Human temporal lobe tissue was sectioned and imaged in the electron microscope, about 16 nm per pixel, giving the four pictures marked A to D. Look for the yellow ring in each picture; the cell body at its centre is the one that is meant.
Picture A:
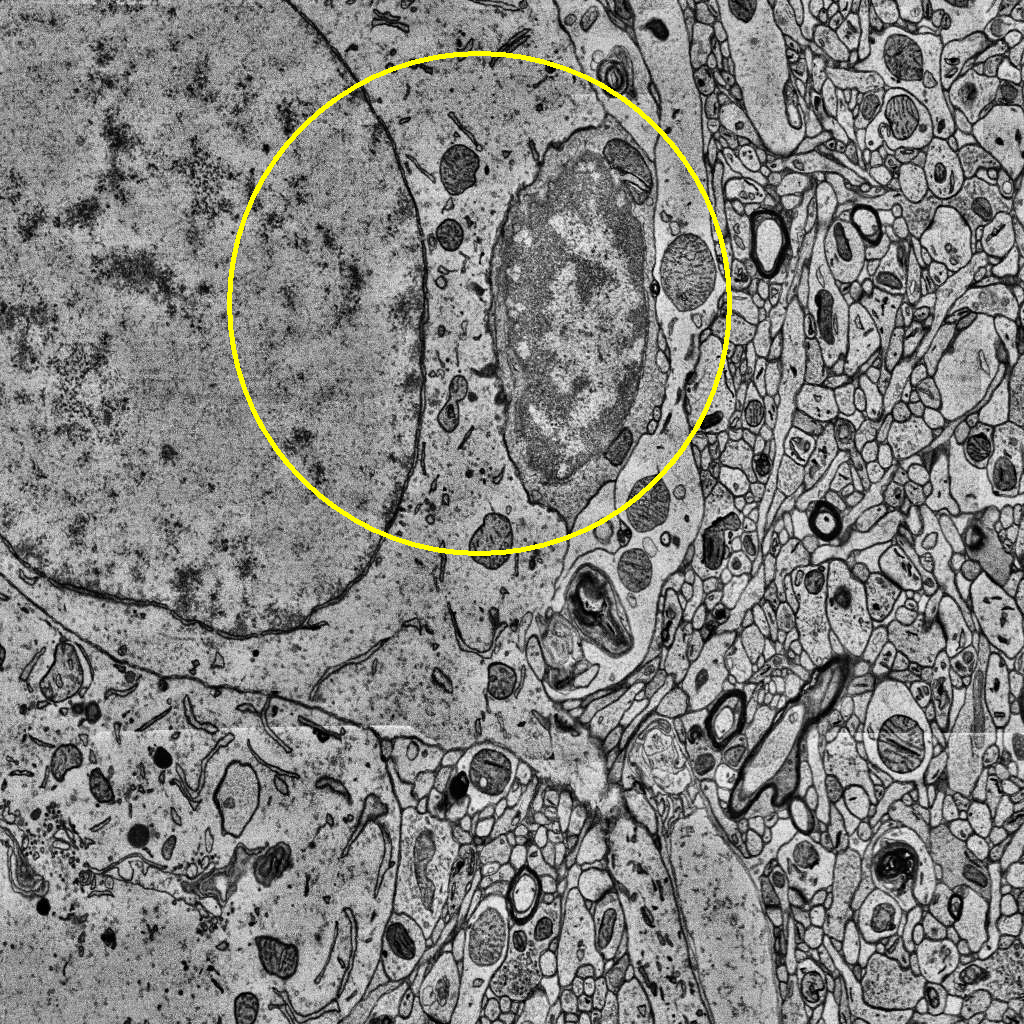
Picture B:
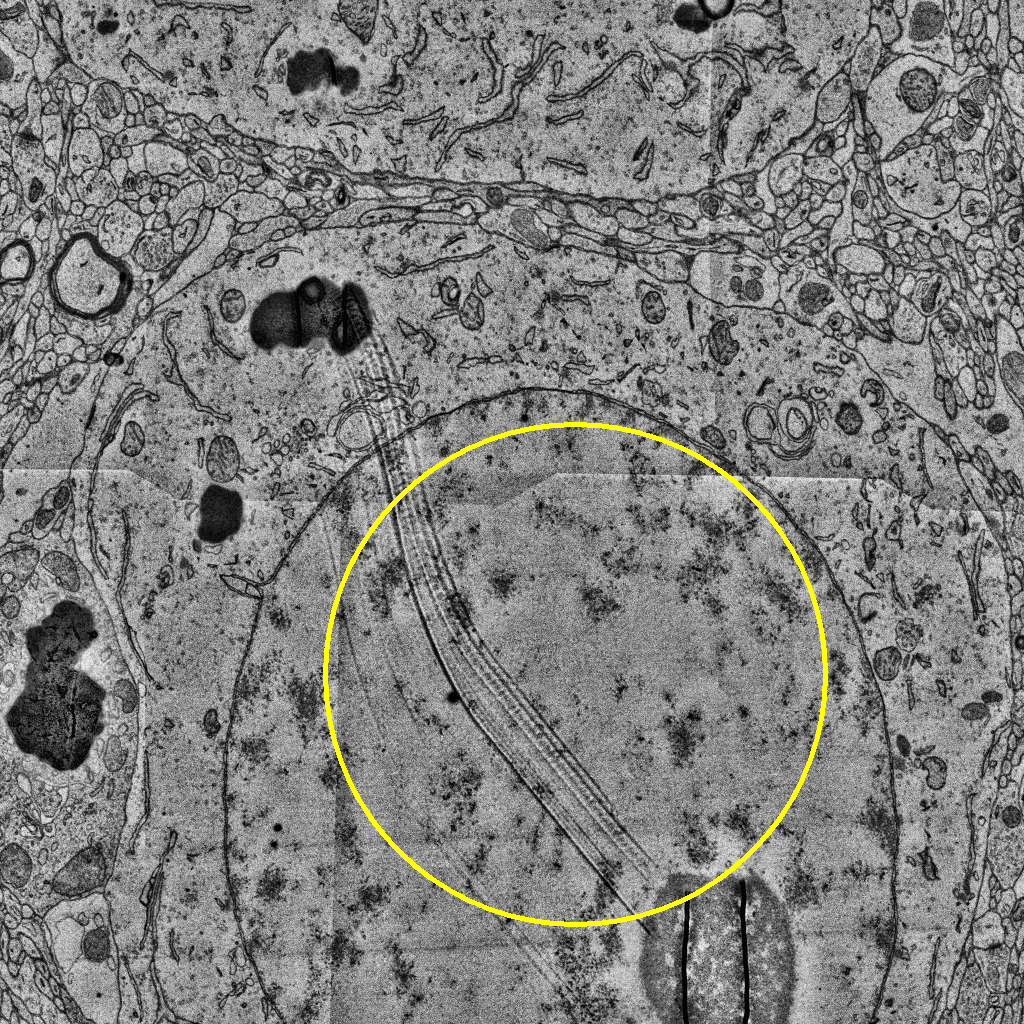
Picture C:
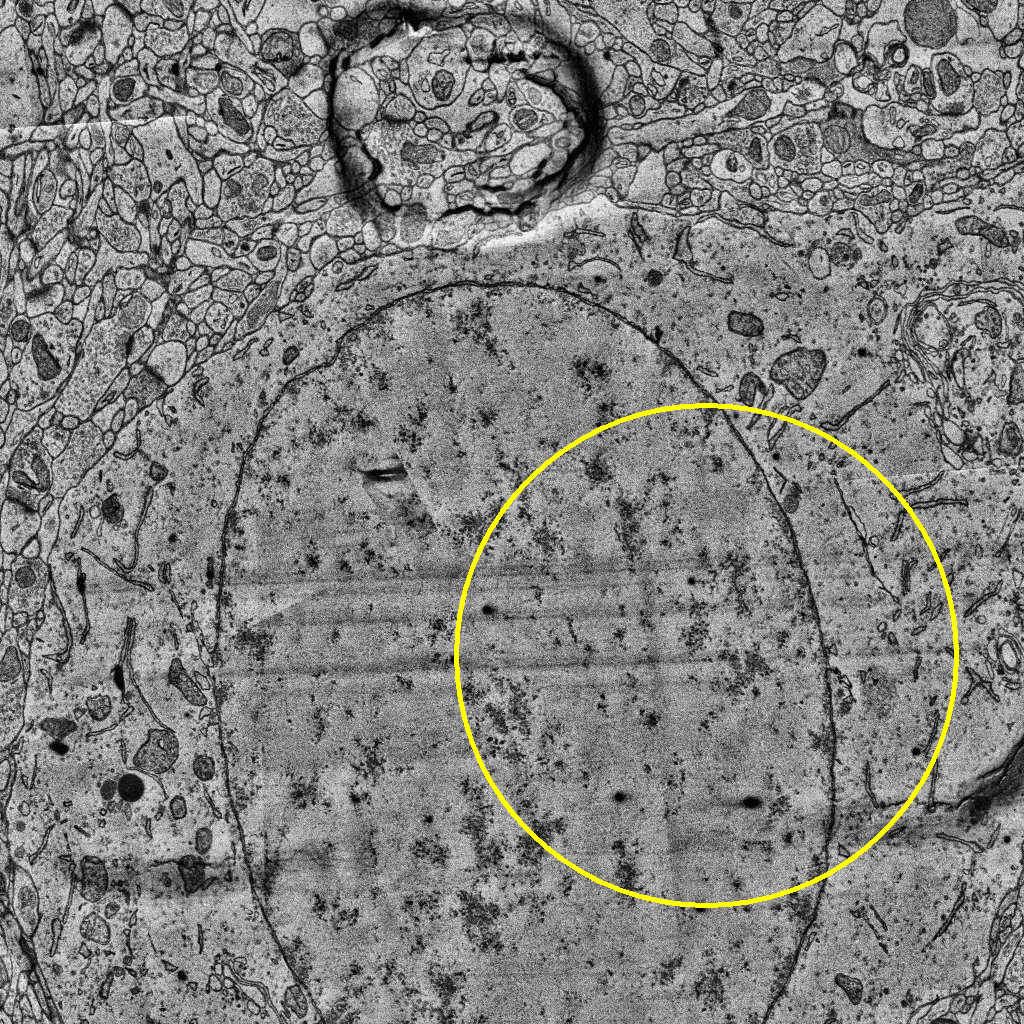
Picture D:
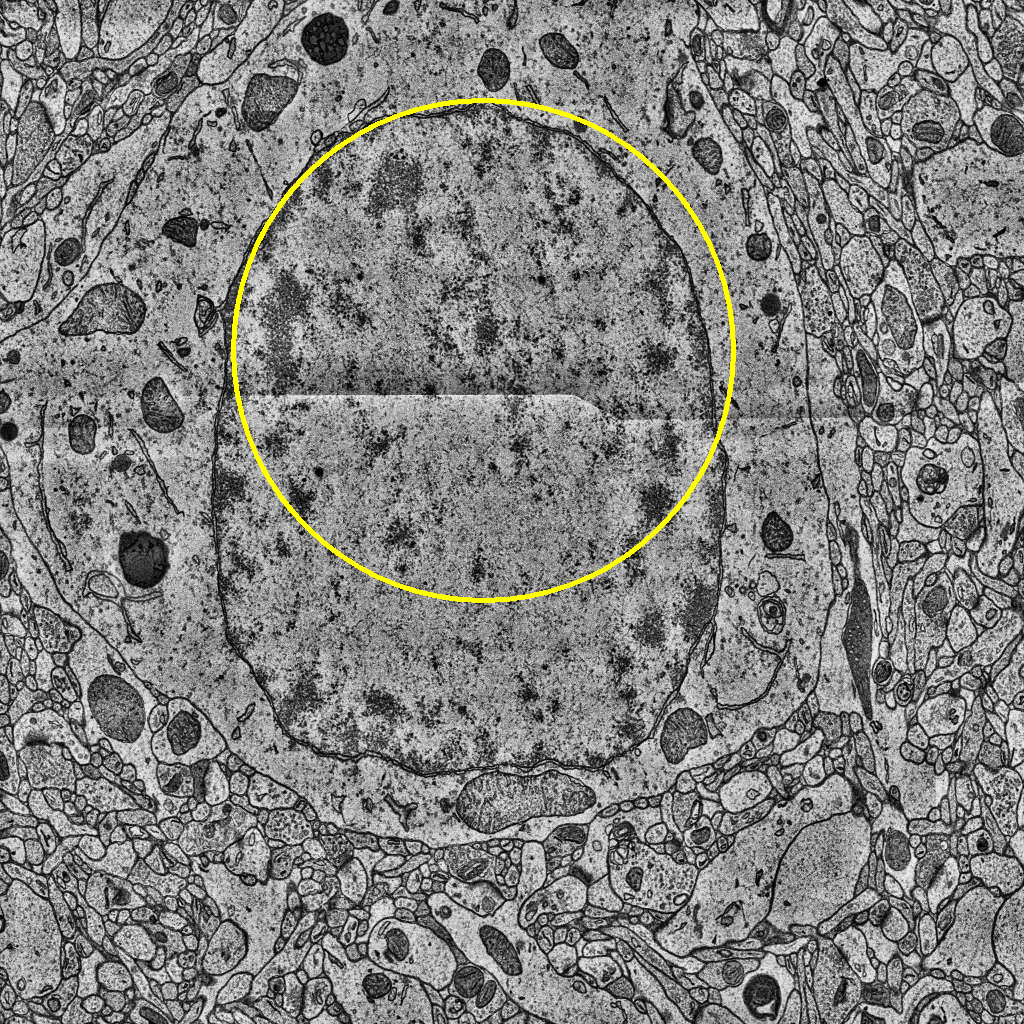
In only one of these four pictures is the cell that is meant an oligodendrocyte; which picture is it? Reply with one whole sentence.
Picture A shows the oligodendrocyte.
